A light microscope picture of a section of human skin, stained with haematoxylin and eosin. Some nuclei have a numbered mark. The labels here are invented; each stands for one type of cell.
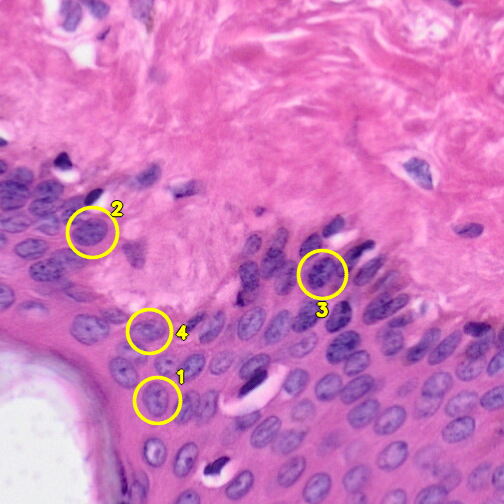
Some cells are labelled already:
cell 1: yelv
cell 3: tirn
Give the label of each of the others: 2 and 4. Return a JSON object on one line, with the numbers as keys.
{"2": "tirn", "4": "tirn"}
